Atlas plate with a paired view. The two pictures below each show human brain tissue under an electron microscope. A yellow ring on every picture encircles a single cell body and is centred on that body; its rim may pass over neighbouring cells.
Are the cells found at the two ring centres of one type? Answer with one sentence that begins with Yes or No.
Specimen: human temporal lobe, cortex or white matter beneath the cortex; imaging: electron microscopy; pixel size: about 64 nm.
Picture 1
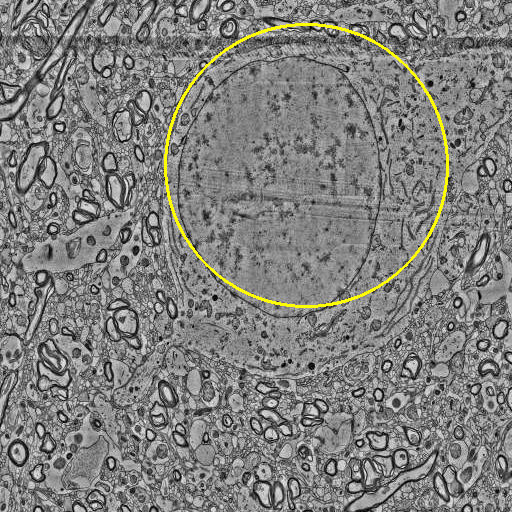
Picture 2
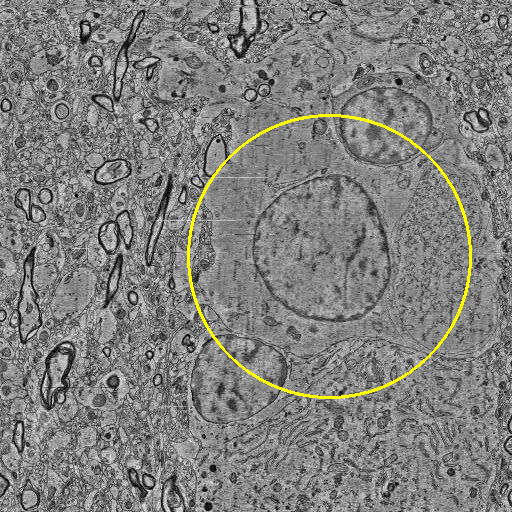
No, the two cells lying at the centres of the rings are of two types.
